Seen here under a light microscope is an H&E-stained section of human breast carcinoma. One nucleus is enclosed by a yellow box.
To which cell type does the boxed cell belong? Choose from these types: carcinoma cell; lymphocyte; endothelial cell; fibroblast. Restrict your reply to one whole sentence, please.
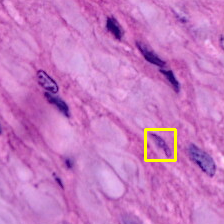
Considered by cell type, the boxed cell is a fibroblast.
